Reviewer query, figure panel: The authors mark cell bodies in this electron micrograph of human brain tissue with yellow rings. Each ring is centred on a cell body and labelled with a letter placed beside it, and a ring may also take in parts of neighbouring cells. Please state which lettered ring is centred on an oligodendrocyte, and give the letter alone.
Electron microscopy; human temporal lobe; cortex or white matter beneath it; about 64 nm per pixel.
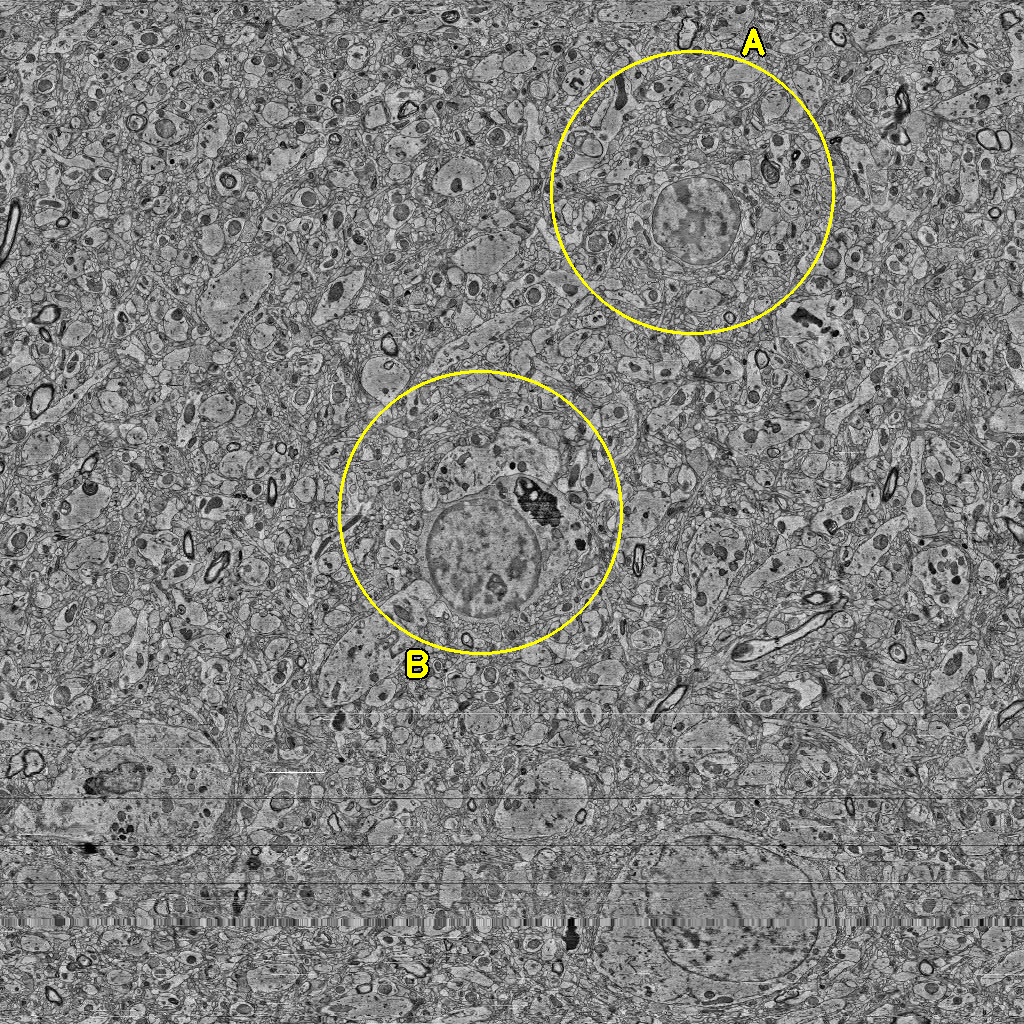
B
